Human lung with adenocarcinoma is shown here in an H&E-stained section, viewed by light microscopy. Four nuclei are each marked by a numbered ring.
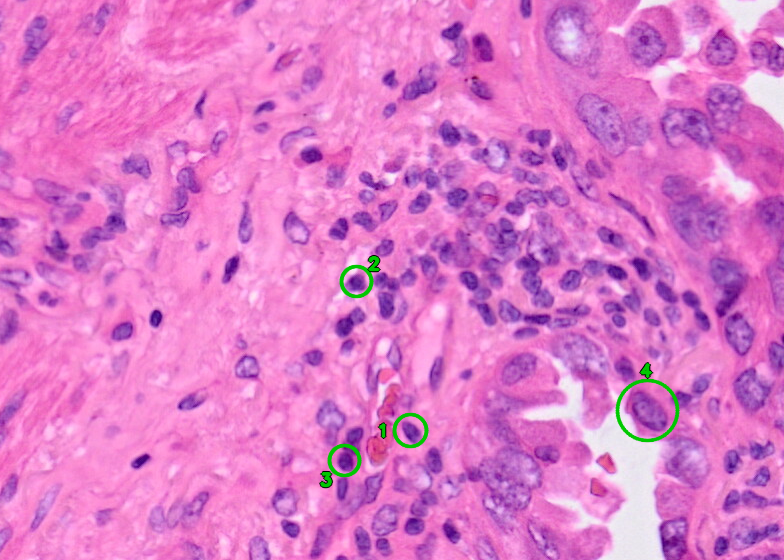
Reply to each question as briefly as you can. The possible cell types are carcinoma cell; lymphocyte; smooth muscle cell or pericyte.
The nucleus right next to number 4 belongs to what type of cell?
lymphocyte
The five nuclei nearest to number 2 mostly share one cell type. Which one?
lymphocyte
